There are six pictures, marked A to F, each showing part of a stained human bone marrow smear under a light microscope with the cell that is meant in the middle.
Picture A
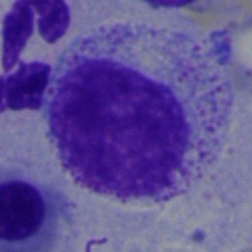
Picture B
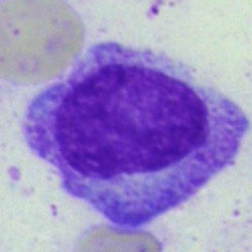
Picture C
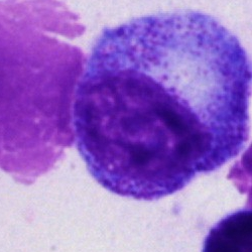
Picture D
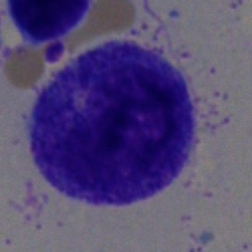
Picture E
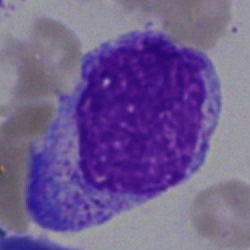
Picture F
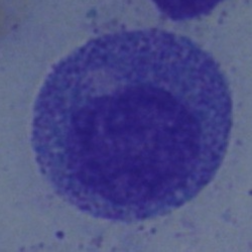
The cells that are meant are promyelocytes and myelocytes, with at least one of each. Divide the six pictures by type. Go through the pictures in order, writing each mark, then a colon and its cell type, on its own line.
A: myelocyte
B: promyelocyte
C: promyelocyte
D: promyelocyte
E: promyelocyte
F: myelocyte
